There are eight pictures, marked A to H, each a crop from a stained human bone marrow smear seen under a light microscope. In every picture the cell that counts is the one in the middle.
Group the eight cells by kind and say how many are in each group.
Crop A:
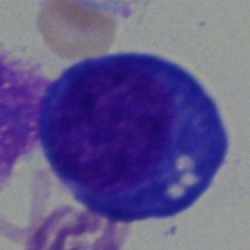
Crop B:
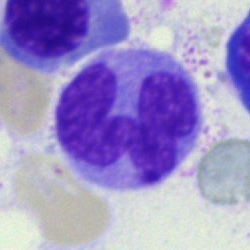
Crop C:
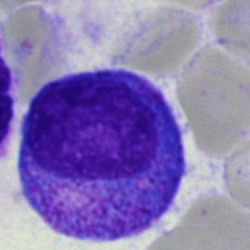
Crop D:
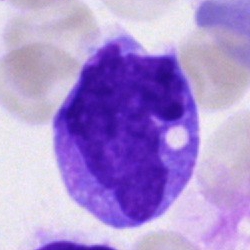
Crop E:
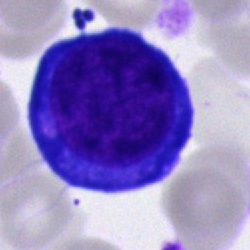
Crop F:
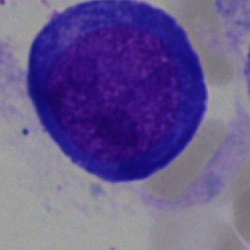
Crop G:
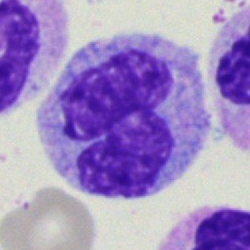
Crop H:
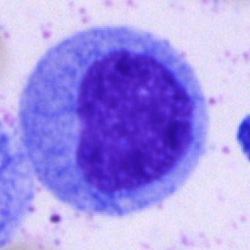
proerythroblast: 3
monocyte: 3
promyelocyte: 2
